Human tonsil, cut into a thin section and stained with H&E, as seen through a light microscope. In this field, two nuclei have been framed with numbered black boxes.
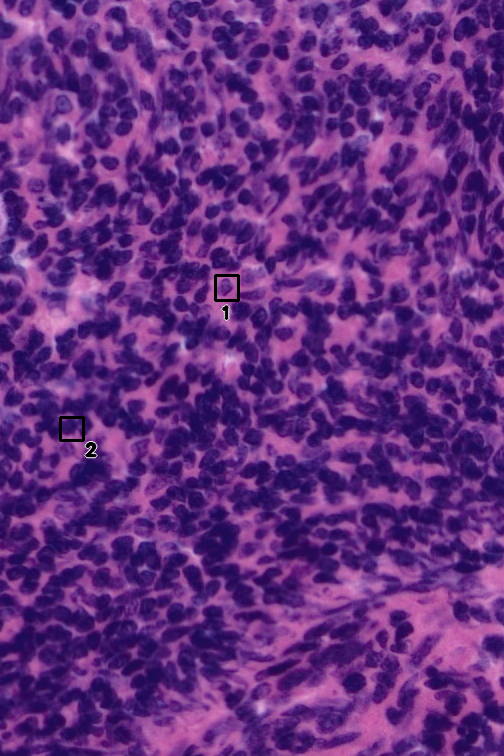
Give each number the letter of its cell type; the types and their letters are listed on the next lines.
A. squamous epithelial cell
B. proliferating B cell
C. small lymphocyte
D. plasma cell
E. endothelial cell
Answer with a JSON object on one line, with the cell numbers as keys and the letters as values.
{"1": "E", "2": "C"}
